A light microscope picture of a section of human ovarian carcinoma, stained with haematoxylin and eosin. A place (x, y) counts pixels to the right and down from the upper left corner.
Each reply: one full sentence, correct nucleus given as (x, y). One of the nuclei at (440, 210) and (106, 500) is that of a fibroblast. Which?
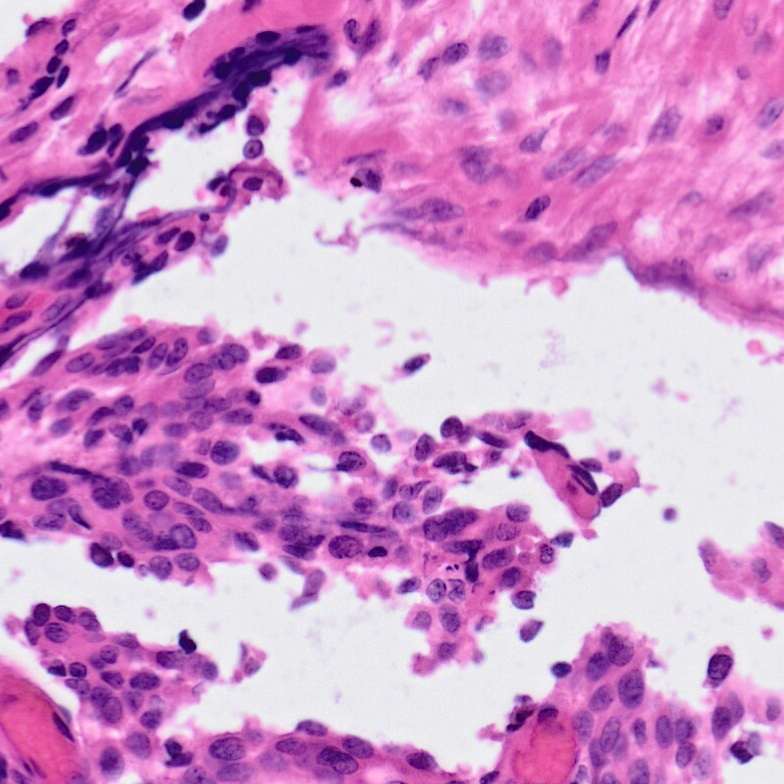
Between the two nuclei, the one sitting at (440, 210) belongs to a fibroblast.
